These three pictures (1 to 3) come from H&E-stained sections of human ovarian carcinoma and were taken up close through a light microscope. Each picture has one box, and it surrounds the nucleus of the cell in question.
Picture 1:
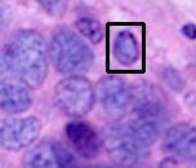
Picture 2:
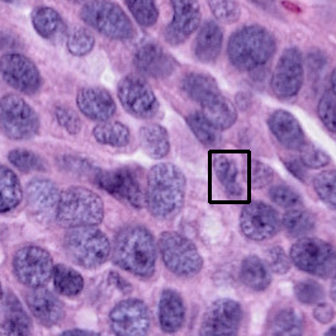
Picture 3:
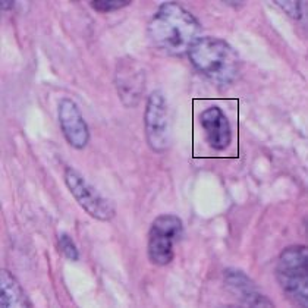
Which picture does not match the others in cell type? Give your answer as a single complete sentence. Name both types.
Unlike the rest, which show “macrophages or monocytes”, picture 3 shows a lymphocyte.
